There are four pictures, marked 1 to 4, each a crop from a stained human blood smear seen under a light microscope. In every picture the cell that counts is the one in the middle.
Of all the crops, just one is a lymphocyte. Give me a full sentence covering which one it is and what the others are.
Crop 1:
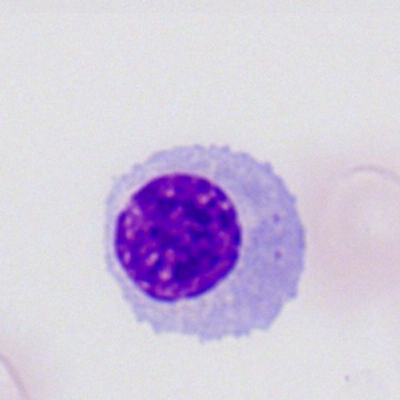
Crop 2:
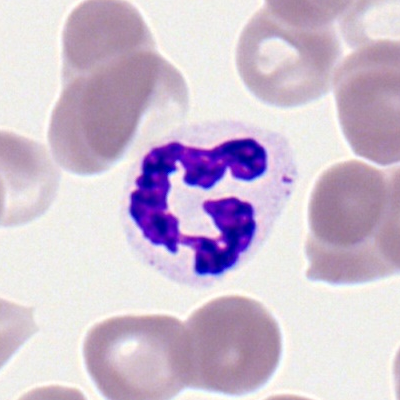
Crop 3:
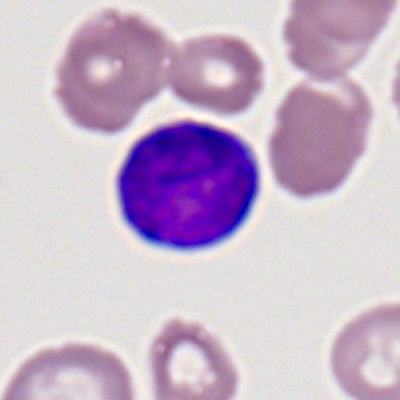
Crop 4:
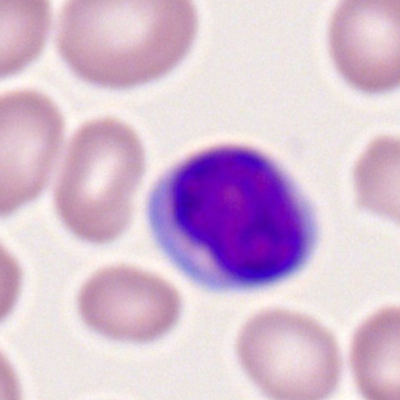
Found in crop 4 is a lymphocyte, whereas crop 1 is an erythroblast, crop 2 is a segmented neutrophil and crop 3 is a myeloblast.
